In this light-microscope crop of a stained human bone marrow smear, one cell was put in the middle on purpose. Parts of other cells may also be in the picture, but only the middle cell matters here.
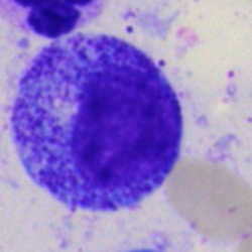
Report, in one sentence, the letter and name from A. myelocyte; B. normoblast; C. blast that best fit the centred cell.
That middle cell is a myelocyte, and option A is therefore correct.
